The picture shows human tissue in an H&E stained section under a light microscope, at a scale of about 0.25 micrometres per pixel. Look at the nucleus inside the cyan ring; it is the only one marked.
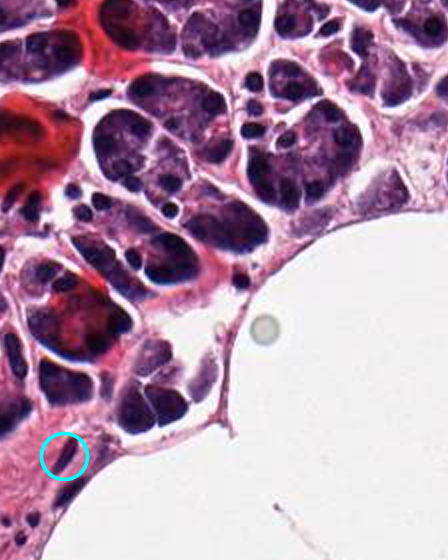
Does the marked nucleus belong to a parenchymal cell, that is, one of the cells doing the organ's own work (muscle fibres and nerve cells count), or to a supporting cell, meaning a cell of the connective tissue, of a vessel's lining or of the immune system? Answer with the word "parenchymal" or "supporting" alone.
supporting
